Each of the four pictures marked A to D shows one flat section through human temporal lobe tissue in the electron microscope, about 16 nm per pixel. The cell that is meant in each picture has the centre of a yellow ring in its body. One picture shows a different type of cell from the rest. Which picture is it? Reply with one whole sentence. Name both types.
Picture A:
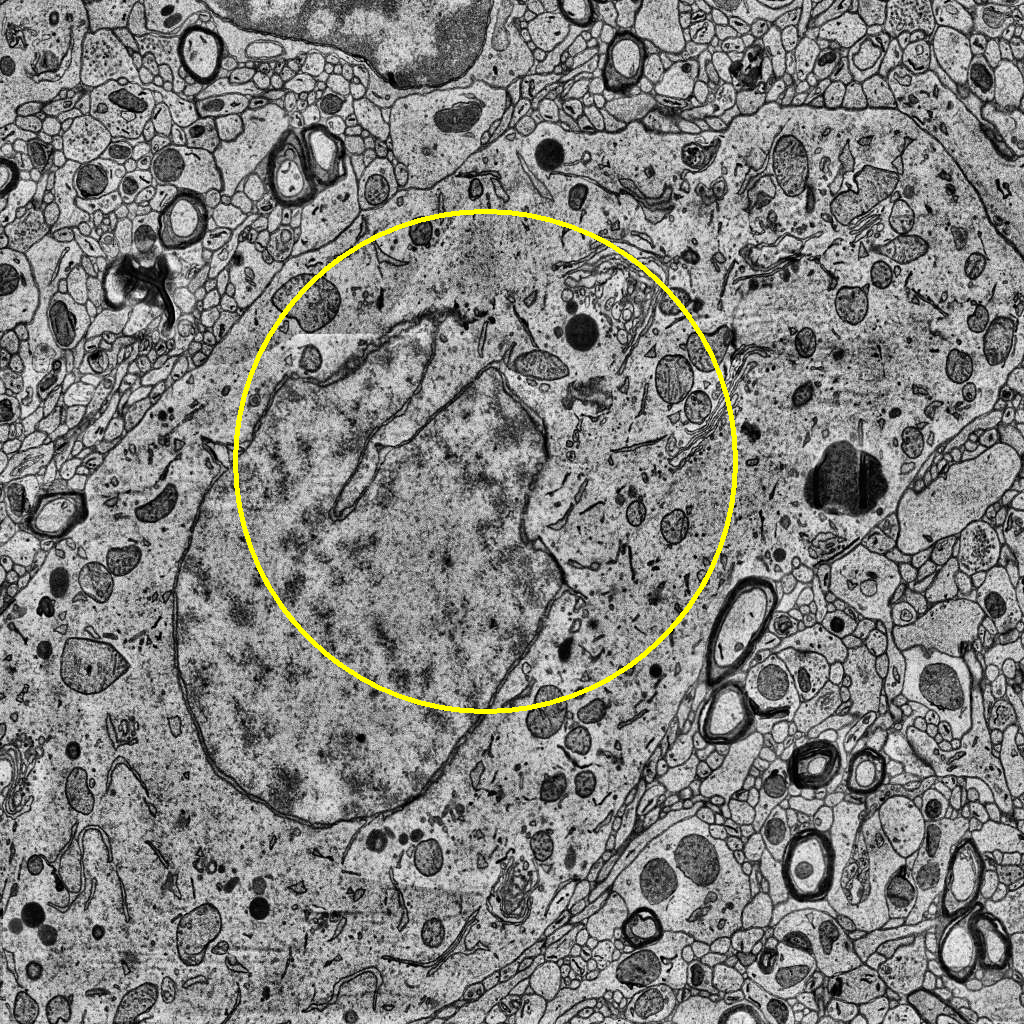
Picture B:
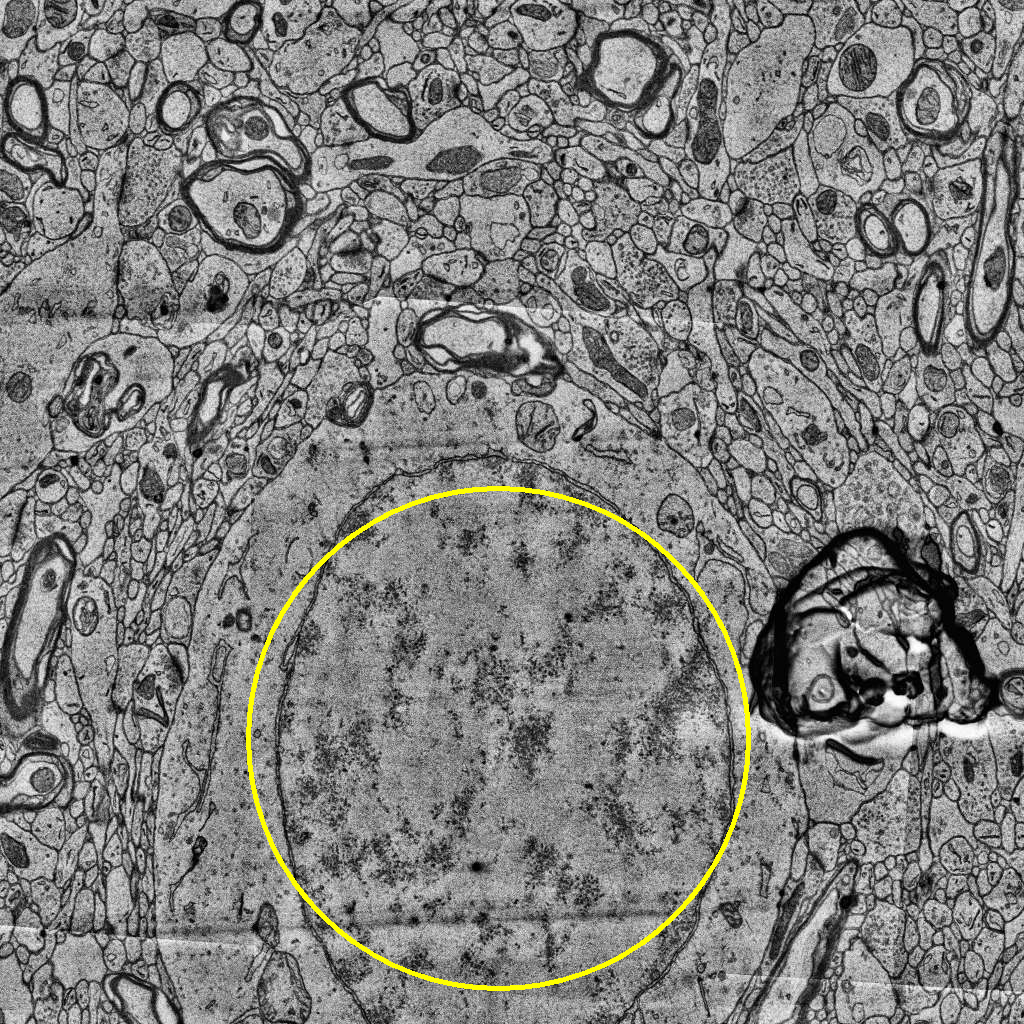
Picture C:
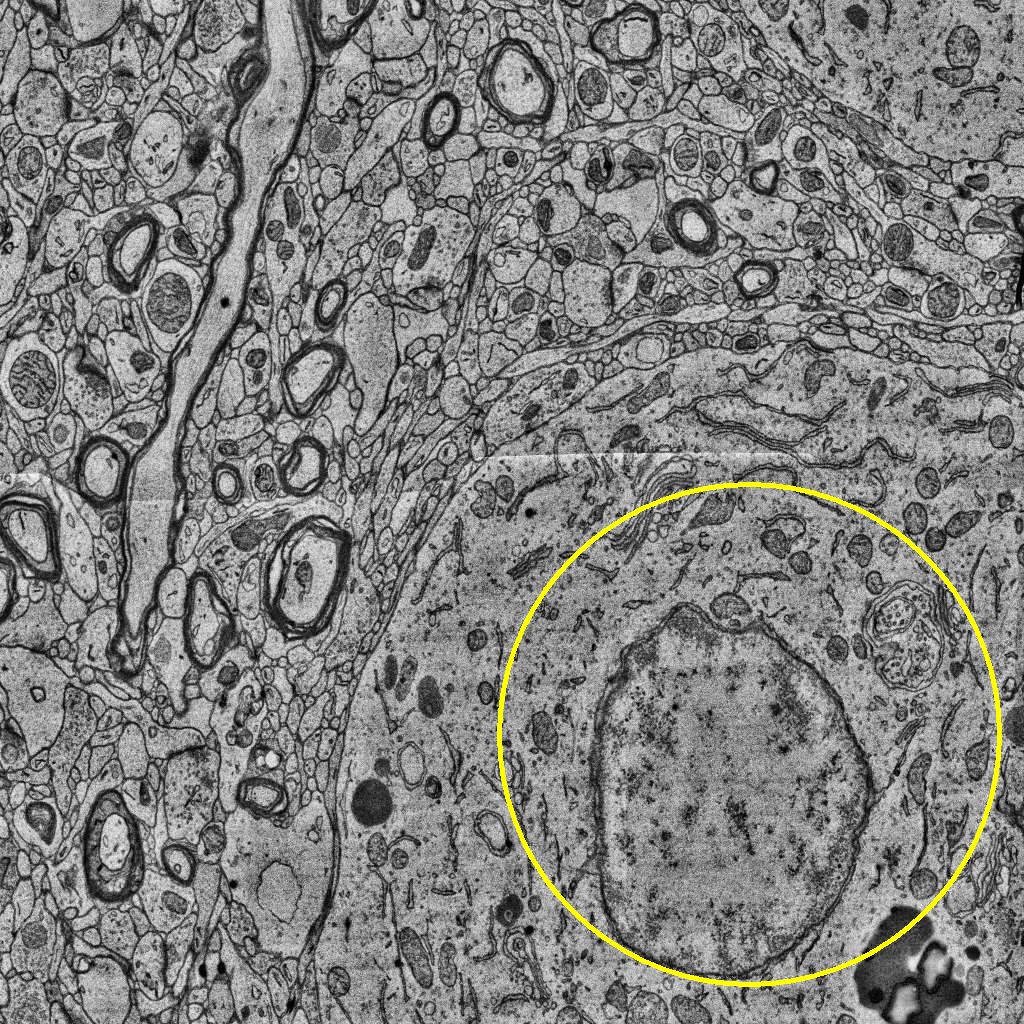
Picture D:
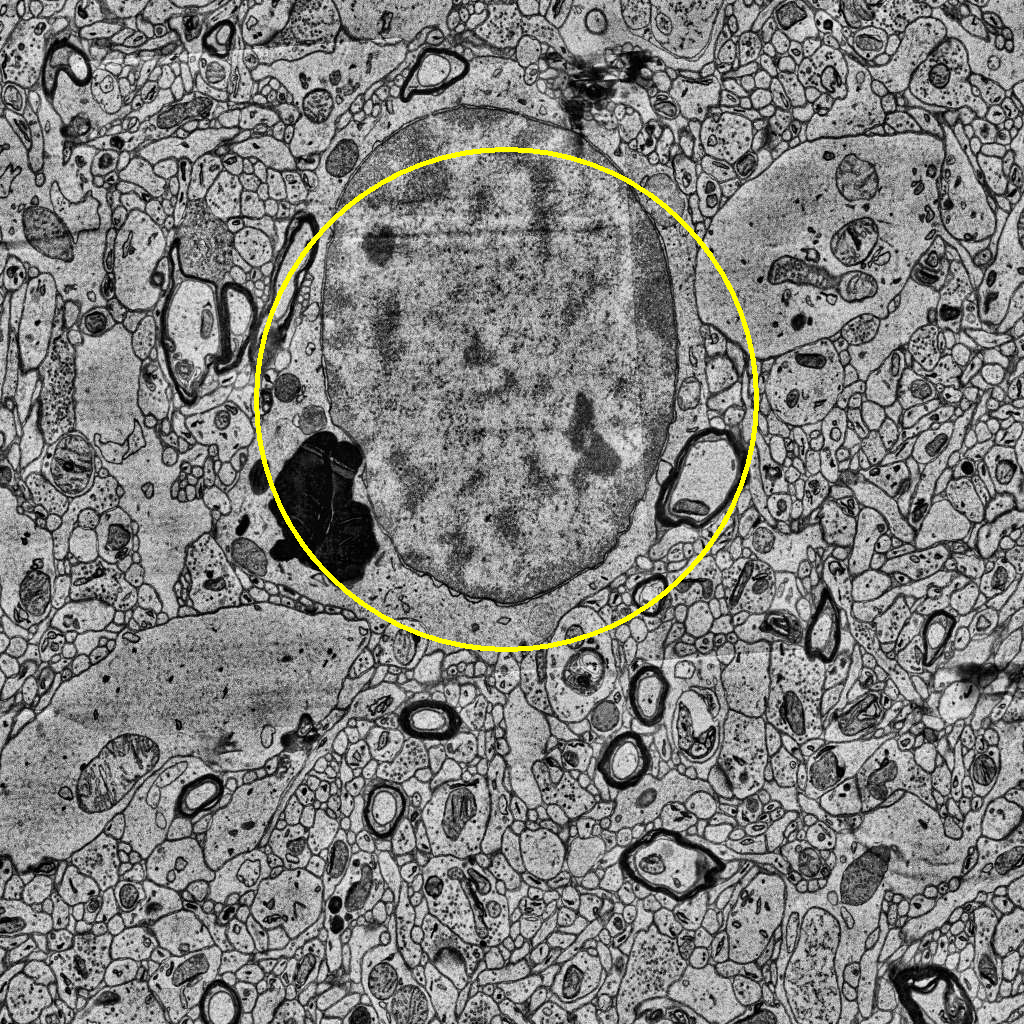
The different one is picture D; it shows an oligodendrocyte, whereas all the others show pyramidal neurons.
